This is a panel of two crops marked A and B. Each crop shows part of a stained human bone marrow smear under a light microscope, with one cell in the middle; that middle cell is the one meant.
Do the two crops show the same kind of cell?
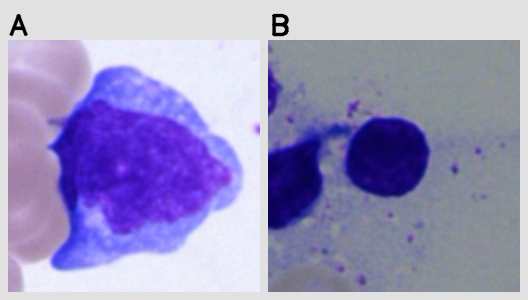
no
